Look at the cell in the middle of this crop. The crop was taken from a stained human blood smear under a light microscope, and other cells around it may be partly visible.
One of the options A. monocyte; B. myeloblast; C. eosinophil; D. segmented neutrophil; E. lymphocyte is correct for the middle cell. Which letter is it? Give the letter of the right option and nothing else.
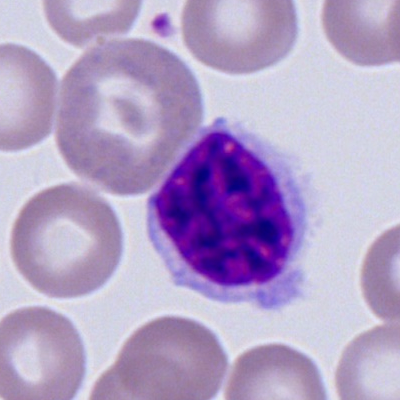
E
